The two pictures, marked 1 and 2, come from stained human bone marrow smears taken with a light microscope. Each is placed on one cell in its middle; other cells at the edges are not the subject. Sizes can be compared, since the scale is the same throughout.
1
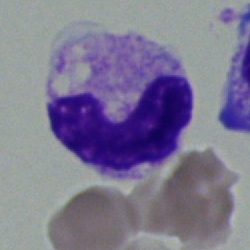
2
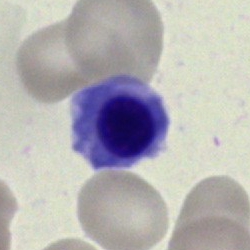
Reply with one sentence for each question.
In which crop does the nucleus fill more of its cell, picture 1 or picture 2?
In picture 1 the nucleus takes up the larger part of its cell.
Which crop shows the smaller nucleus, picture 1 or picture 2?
Smaller is the nucleus in picture 2, and the other is about 3 times as large in area.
